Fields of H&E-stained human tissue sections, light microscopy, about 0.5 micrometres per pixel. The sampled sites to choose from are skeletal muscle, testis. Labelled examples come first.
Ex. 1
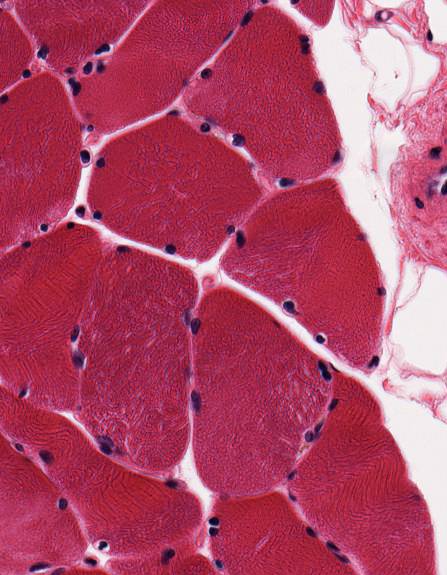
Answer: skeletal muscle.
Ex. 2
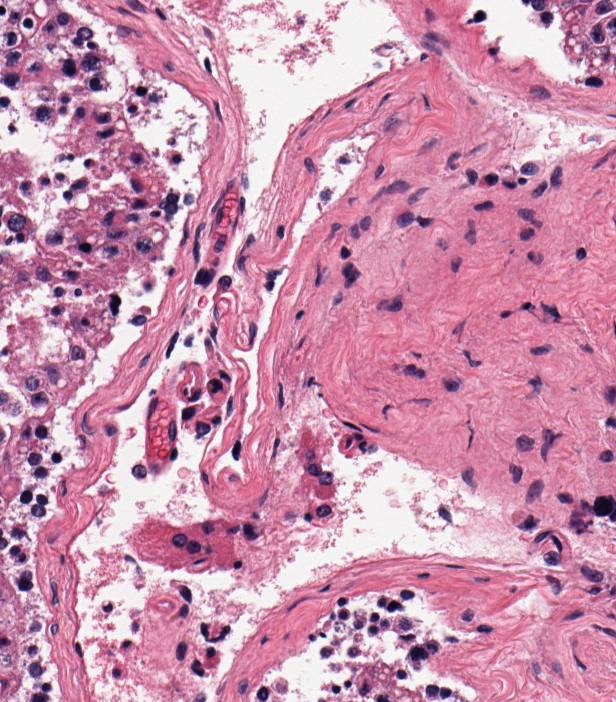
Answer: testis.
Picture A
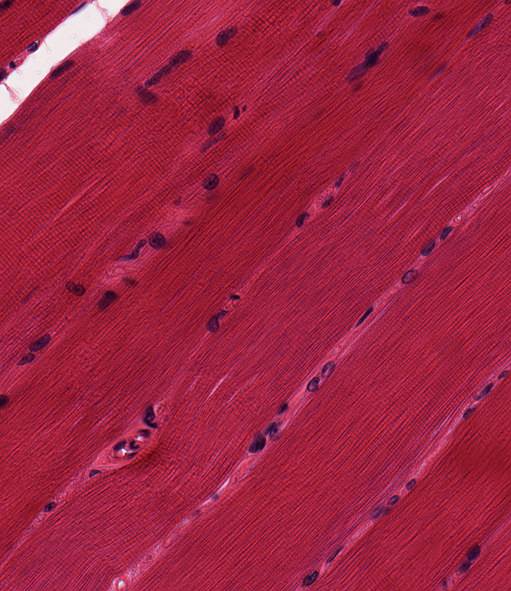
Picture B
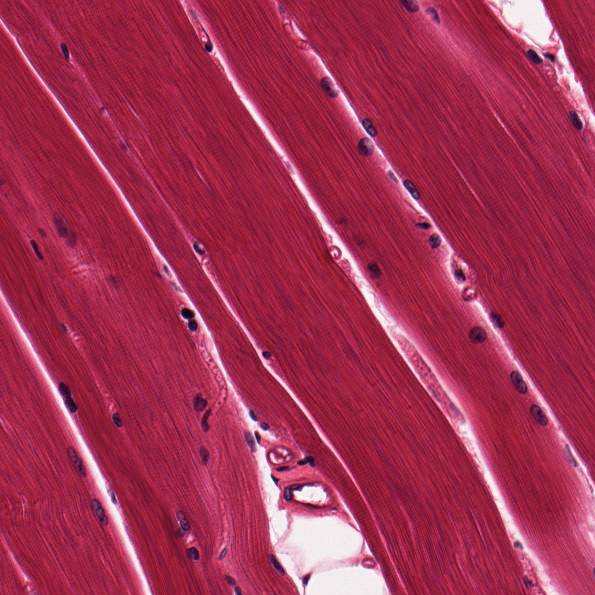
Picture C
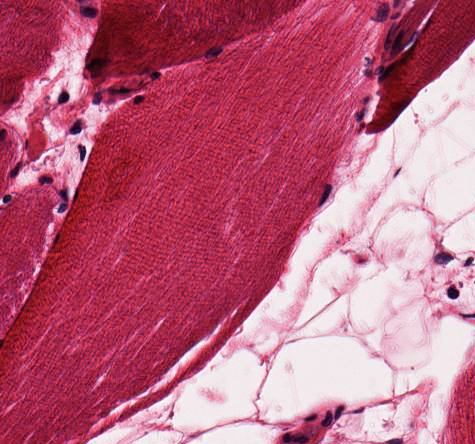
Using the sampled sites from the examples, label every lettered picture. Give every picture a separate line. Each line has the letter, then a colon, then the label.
A: skeletal muscle.
B: skeletal muscle.
C: skeletal muscle.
